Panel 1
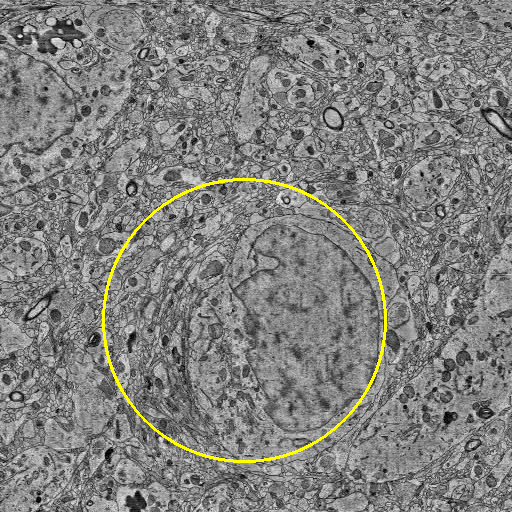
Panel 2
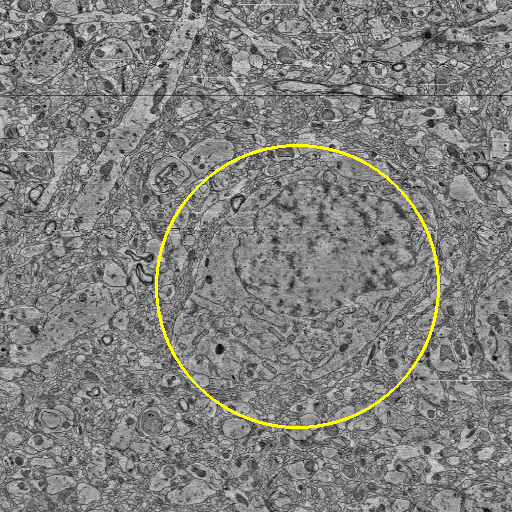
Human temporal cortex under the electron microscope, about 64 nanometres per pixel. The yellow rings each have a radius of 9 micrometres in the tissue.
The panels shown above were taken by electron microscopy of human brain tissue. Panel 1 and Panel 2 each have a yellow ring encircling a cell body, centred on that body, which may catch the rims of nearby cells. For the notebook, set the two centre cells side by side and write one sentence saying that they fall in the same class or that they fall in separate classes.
The centred cells of Panel 1 and Panel 2 fall in the same class.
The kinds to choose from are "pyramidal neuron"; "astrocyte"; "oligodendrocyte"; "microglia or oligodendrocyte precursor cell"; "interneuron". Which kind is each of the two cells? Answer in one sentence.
Both the first and the second picture show an interneuron in the ring.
